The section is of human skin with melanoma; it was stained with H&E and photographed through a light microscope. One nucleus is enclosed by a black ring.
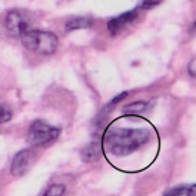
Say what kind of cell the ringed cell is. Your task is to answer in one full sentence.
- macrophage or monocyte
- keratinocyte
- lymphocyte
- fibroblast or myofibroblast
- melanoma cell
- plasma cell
In terms of identity, the ringed cell is a melanoma cell.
